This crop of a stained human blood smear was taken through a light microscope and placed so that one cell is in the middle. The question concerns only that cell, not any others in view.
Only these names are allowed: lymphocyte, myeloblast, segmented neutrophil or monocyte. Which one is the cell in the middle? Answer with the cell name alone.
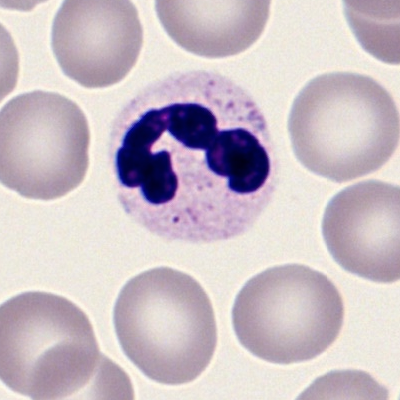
segmented neutrophil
